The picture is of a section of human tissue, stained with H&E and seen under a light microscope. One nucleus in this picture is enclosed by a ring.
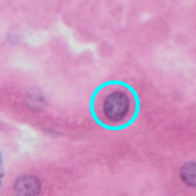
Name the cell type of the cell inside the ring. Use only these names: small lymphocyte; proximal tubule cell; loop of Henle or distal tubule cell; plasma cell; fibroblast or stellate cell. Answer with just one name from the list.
proximal tubule cell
